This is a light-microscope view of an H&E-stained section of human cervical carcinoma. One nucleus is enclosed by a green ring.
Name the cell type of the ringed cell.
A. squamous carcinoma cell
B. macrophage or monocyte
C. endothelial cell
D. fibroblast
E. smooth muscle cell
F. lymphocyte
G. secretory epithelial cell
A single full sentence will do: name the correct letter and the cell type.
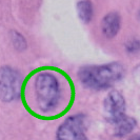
The statement that the ringed cell is a squamous carcinoma cell corresponds to option A, the correct one.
